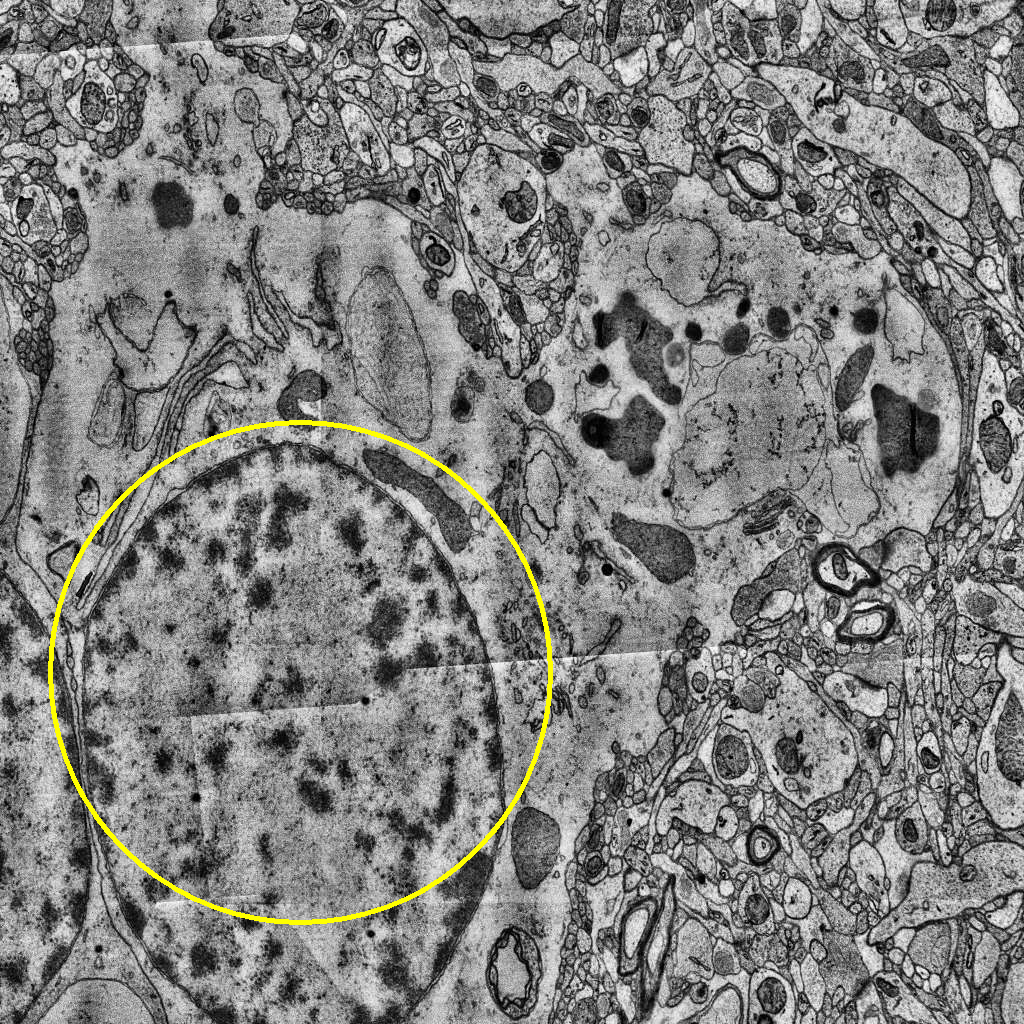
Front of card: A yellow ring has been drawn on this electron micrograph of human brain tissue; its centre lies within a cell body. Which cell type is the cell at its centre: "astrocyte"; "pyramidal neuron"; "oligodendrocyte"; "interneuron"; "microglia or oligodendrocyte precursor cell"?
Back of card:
astrocyte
